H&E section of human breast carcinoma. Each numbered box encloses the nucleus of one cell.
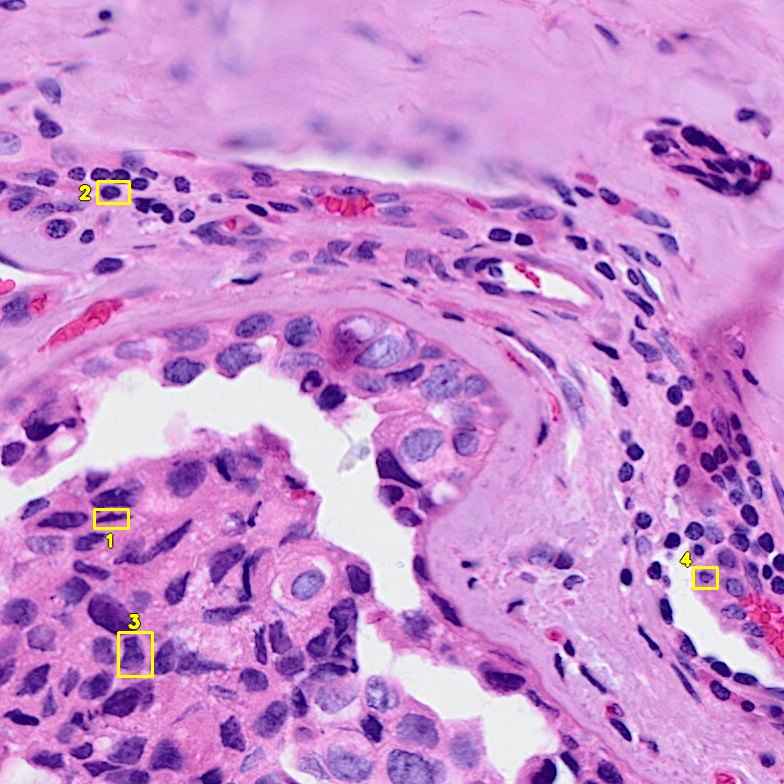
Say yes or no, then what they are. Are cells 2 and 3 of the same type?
No, cell 2 counts as a lymphocyte, and cell 3 counts as a carcinoma cell.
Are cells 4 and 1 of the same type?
No, an endothelial cell is what cell 4 is, and a carcinoma cell is what cell 1 is.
